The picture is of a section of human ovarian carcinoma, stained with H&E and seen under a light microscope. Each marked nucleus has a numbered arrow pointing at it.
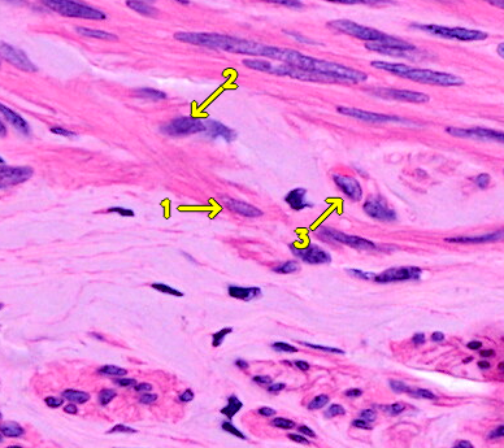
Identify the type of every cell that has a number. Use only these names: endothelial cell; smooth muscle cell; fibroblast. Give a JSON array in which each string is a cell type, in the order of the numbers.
["smooth muscle cell", "smooth muscle cell", "endothelial cell"]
